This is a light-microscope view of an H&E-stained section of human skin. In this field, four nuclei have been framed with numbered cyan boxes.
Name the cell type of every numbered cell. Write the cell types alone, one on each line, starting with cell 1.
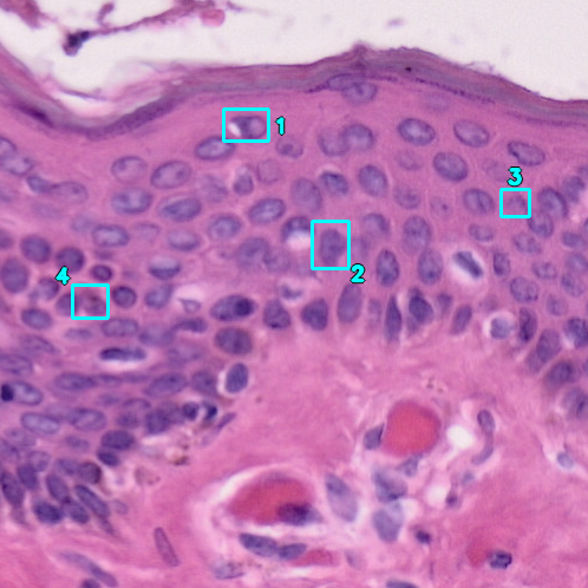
suprabasal keratinocyte
suprabasal keratinocyte
suprabasal keratinocyte
basal keratinocyte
